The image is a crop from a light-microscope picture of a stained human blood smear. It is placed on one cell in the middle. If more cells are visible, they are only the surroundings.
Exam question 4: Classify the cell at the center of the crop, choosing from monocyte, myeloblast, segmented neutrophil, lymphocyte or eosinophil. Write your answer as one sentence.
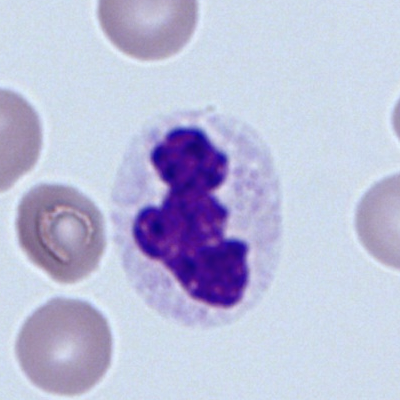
Classification of the middle cell gives a segmented neutrophil.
